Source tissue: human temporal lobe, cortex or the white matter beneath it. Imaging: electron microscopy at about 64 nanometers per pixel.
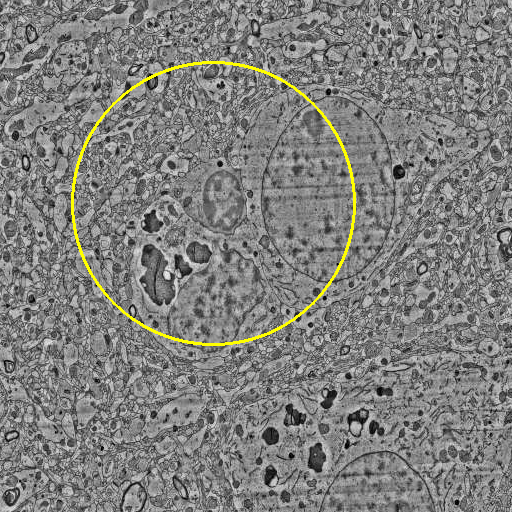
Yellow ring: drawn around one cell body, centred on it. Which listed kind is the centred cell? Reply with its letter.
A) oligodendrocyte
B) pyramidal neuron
A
